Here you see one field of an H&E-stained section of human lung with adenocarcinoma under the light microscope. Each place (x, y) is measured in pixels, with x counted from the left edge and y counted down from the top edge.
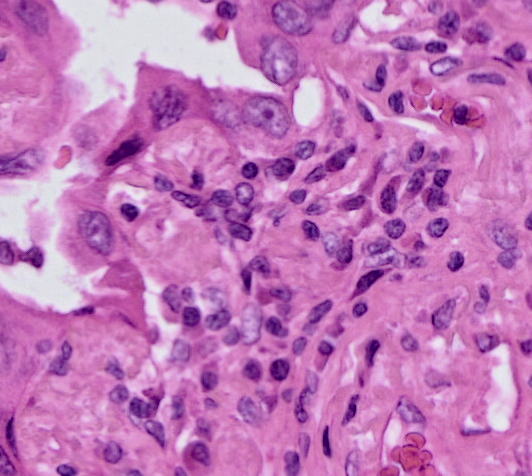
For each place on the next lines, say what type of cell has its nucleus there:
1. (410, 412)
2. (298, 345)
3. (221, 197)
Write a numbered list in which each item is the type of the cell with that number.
1. endothelial cell
2. lymphocyte
3. lymphocyte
